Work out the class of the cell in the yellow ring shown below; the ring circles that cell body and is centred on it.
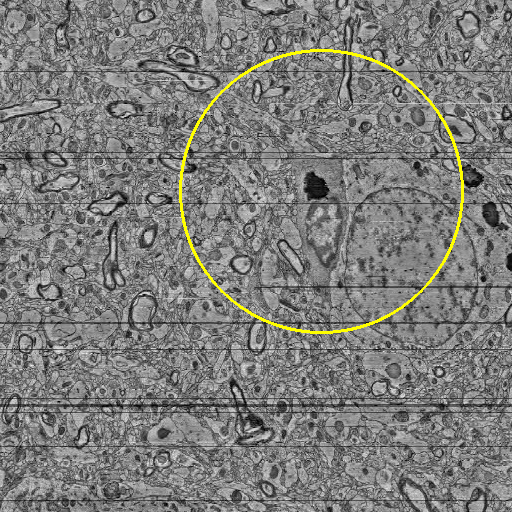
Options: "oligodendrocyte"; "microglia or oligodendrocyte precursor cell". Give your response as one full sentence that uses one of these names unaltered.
The body ringed in yellow, right at the ring's centre, is that of an oligodendrocyte.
